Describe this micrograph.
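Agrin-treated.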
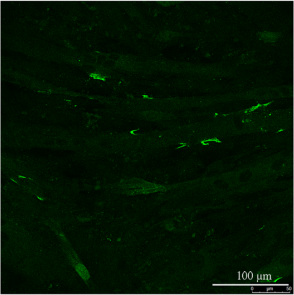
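Cultured myotubes appear as long, faintly green cells lying roughly parallel across the field. Scattered along their surfaces are small, bright green patches and streaks, elongated in the direction of the cells. Between these patches the staining of the cells is weak and diffuse.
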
